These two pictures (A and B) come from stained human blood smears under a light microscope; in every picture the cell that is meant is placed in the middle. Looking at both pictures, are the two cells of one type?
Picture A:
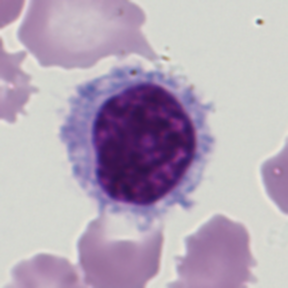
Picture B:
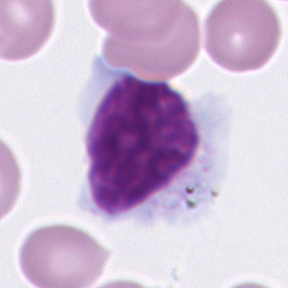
no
